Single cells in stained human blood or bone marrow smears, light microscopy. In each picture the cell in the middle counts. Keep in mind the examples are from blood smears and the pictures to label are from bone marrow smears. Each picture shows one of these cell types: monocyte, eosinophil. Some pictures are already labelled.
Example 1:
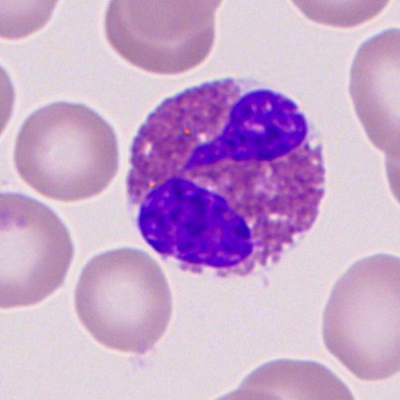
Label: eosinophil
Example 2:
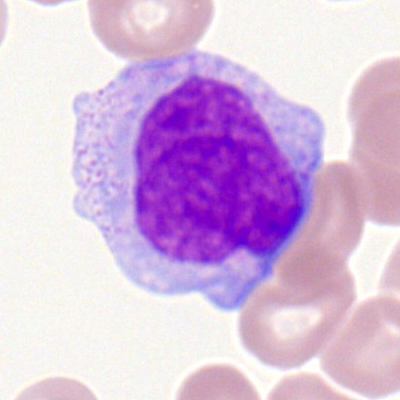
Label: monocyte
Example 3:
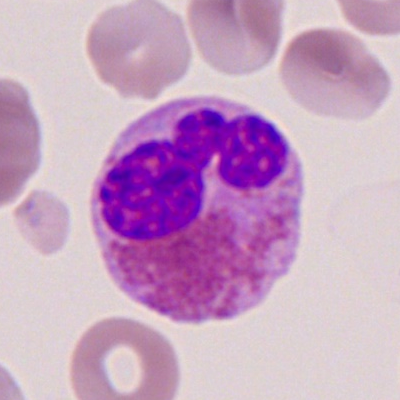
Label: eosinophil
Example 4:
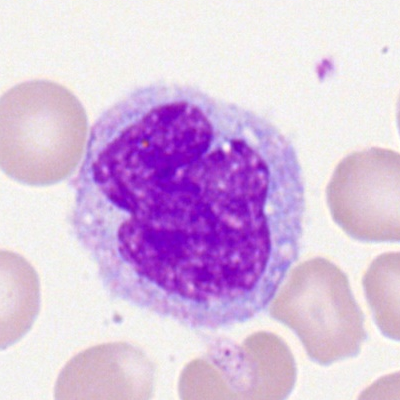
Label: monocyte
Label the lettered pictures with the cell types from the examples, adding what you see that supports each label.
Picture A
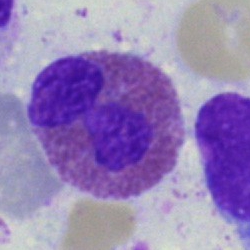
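eosinophil. The cytoplasm is densely packed with pinkish-red granules.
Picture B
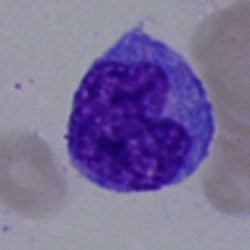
monocyte. The nucleus fills most of the cell.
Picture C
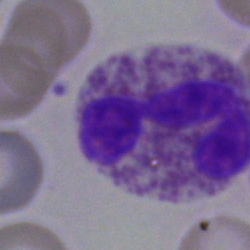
eosinophil. The cytoplasm is plentiful and pale.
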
